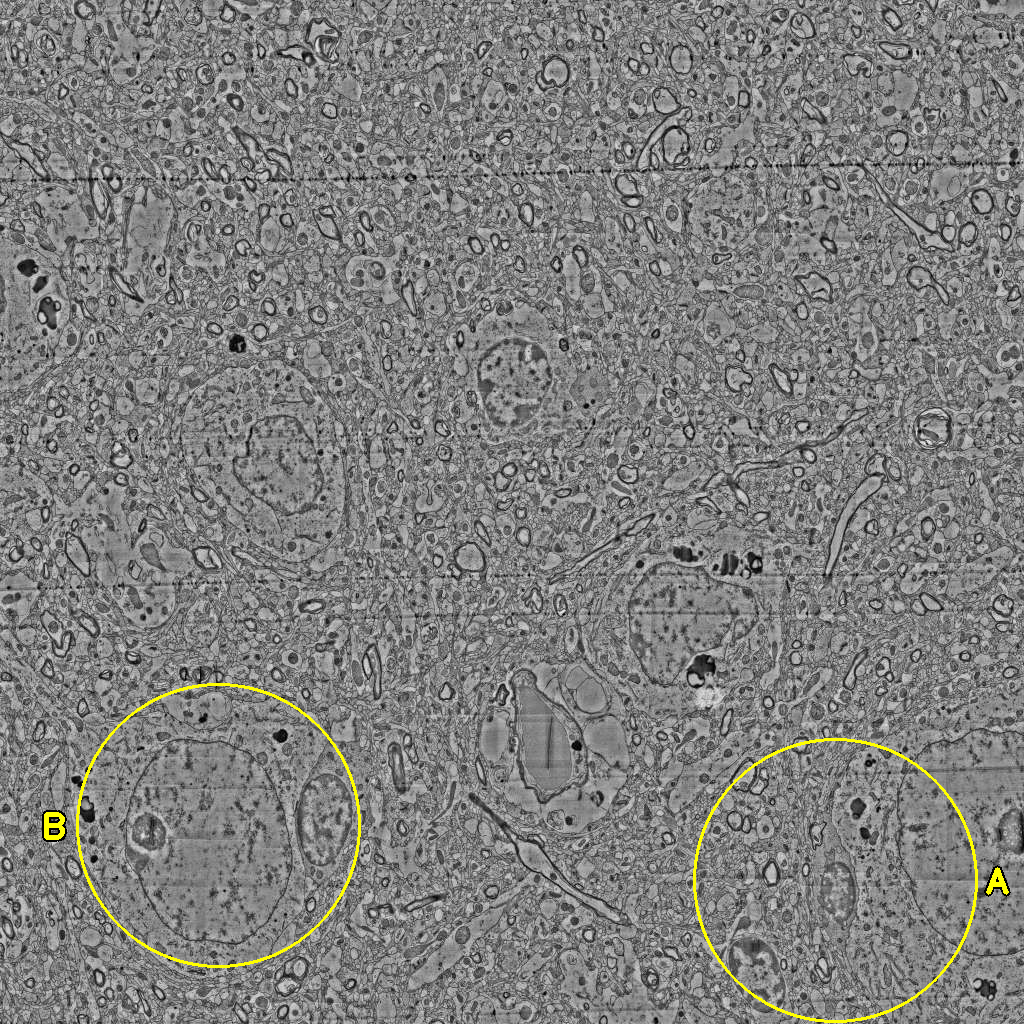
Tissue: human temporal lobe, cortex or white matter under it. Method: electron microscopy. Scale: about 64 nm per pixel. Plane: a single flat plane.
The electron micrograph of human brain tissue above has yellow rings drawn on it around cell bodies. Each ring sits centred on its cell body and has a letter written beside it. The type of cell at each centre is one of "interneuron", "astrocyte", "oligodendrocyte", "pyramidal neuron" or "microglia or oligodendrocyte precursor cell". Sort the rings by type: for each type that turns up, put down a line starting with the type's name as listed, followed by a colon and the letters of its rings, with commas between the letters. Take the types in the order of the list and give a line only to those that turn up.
oligodendrocyte: A
pyramidal neuron: B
